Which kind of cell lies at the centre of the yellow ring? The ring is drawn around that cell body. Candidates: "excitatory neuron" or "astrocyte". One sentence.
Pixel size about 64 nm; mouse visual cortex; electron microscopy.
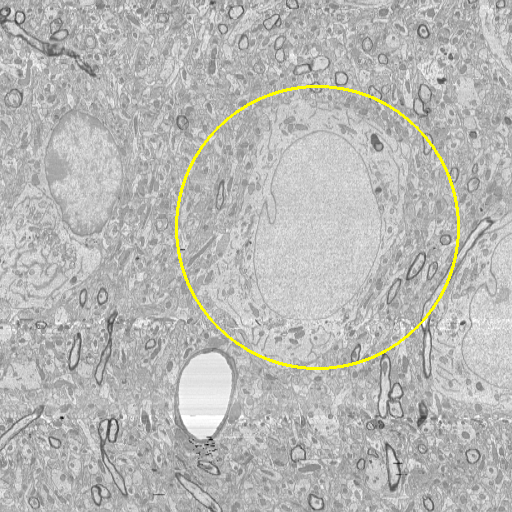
Lying at the centre of the ring is an excitatory neuron.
